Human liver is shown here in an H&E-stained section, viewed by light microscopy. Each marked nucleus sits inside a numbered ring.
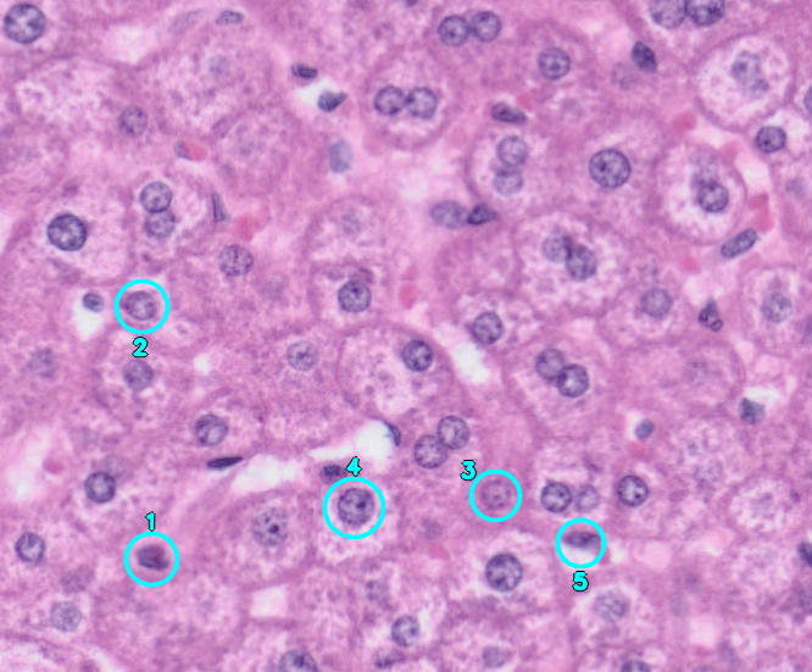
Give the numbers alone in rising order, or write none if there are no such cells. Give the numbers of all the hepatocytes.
2, 3, 4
